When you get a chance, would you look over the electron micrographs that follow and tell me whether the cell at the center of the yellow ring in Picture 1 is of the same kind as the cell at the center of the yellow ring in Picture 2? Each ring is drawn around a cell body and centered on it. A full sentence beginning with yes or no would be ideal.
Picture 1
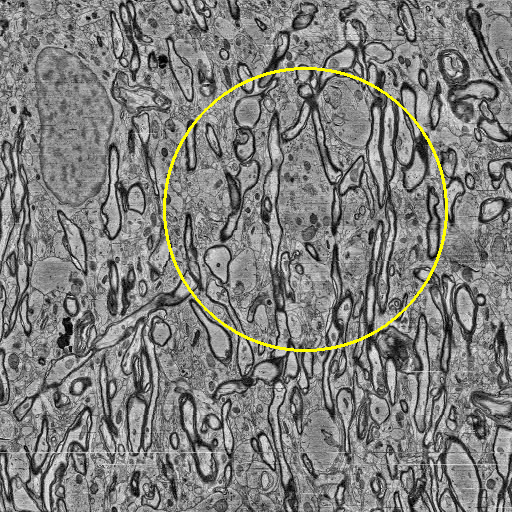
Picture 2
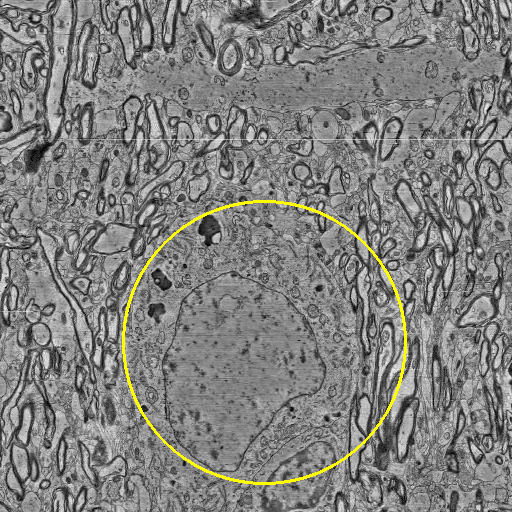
No, they are two kinds of cell.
